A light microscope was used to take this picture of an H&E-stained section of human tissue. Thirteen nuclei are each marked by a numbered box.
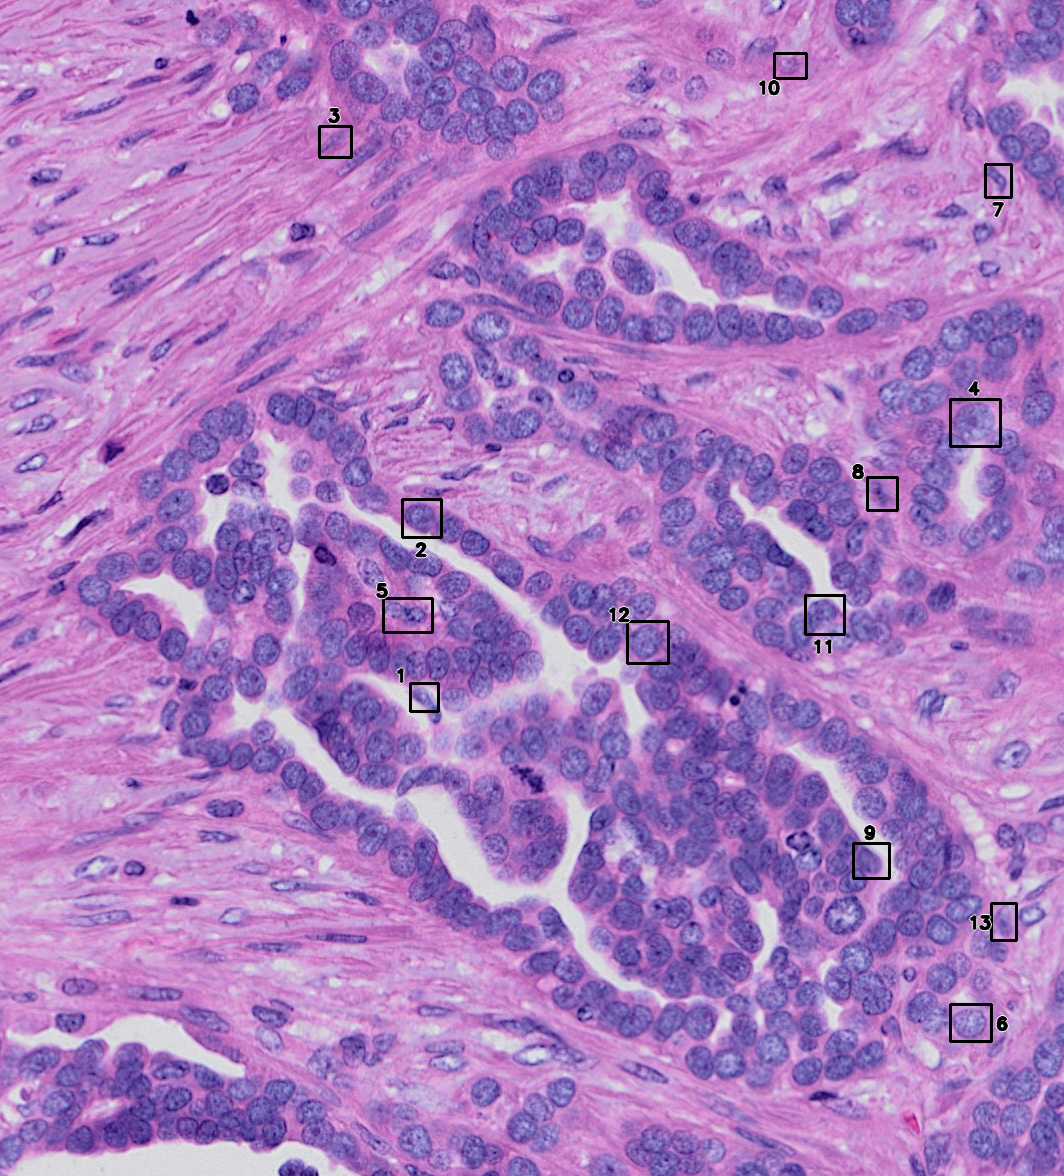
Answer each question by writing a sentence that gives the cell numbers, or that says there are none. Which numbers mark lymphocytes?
Without exception, the numbered cells are not lymphocytes.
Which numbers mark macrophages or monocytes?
The cells referred to by numbers 1 and 5 are macrophages or monocytes.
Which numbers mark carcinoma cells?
The cells carrying the numbers 2, 4, 6, 9, 11 and 12 are carcinoma cells.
